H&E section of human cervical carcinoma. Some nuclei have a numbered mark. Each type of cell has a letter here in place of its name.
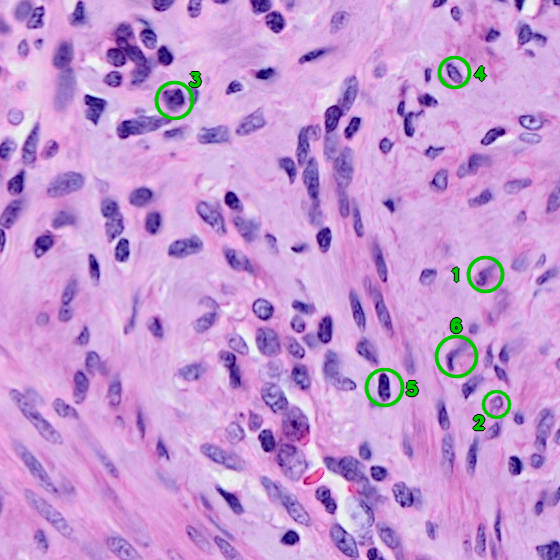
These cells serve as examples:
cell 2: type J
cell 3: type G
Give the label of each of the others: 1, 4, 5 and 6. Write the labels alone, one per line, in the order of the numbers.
type J
type J
type G
type J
